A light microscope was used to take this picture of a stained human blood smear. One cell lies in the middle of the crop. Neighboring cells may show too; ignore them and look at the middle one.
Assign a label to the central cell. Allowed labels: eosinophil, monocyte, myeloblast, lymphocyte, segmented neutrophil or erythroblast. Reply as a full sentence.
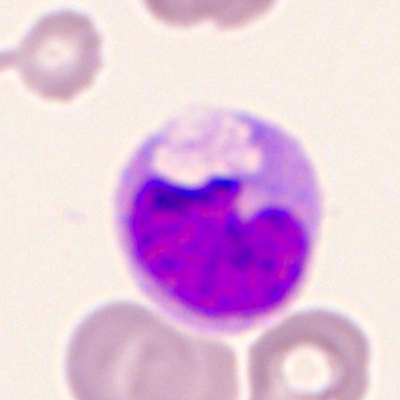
The identification for the central cell is a monocyte.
